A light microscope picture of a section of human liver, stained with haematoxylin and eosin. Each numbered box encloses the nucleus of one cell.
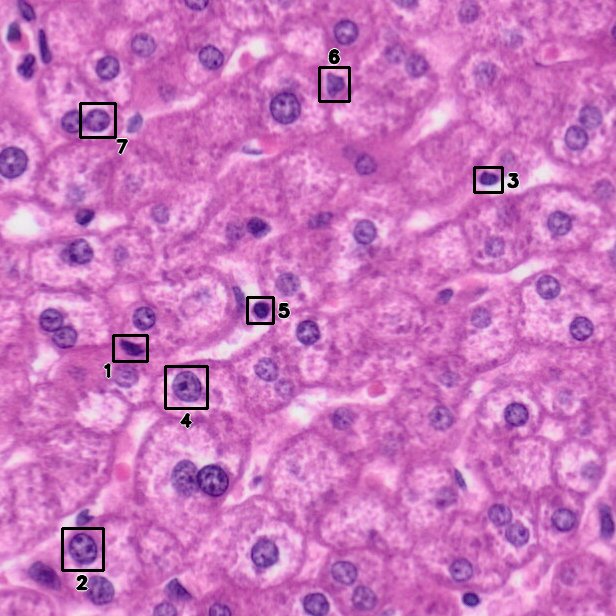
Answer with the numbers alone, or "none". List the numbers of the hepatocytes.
2, 4, 7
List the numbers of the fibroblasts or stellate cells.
1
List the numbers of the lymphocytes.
3, 5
